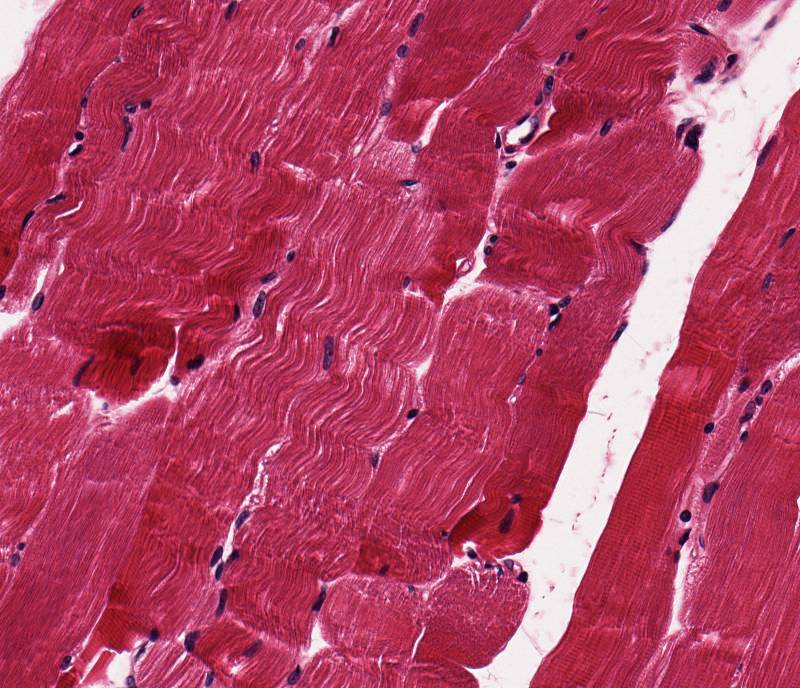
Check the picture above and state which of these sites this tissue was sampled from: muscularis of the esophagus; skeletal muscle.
skeletal muscle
